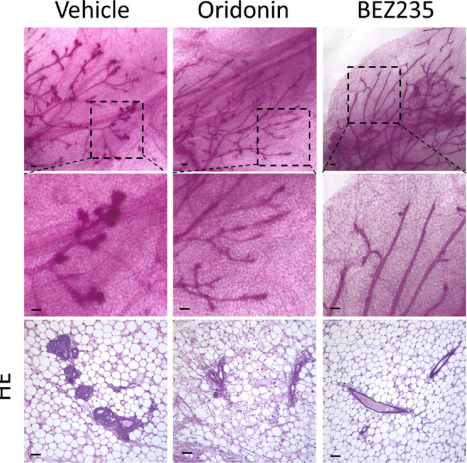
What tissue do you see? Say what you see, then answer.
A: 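Branching ducts spread through a pale fat pad. Ducts end in small buds or clusters. In section, ducts lie among large empty fat cells.
Hence: Mammary gland.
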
